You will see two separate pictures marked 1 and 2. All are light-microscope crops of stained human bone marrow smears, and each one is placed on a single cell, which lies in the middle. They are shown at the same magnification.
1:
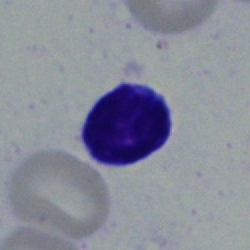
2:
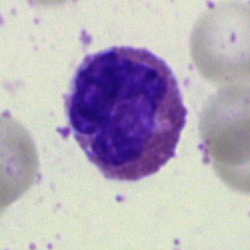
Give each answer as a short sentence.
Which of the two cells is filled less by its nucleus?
The nucleus fills less of the cell in picture 2 than in picture 1.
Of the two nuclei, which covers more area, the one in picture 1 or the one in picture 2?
The nucleus in picture 2 is larger, with about 1.5 times the area of the one in picture 1.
